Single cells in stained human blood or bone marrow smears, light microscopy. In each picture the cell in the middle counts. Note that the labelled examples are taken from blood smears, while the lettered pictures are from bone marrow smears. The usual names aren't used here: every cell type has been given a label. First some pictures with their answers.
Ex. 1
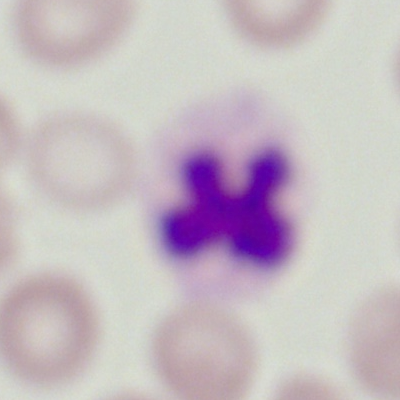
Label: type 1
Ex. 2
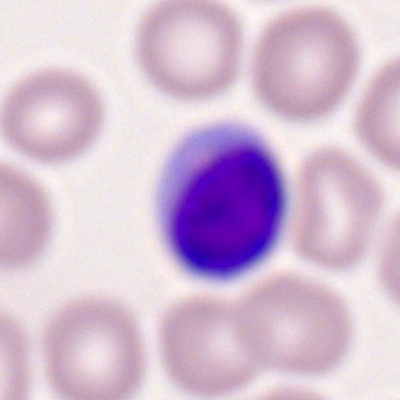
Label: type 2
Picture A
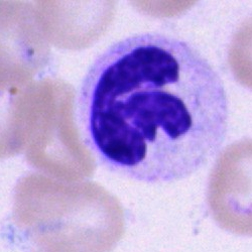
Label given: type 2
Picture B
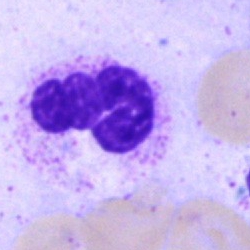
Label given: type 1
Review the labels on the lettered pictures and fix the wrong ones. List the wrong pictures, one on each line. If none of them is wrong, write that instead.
Wrong: A (type 2); correct: type 1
